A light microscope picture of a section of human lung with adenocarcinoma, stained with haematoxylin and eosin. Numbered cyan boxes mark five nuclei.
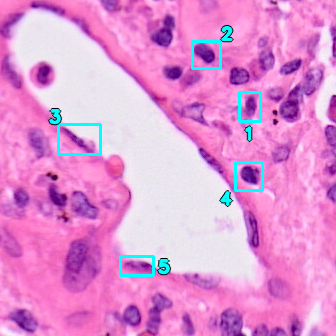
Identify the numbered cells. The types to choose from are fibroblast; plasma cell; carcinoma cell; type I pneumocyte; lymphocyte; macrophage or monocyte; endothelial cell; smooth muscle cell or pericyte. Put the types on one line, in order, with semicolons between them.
plasma cell; lymphocyte; endothelial cell; lymphocyte; endothelial cell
